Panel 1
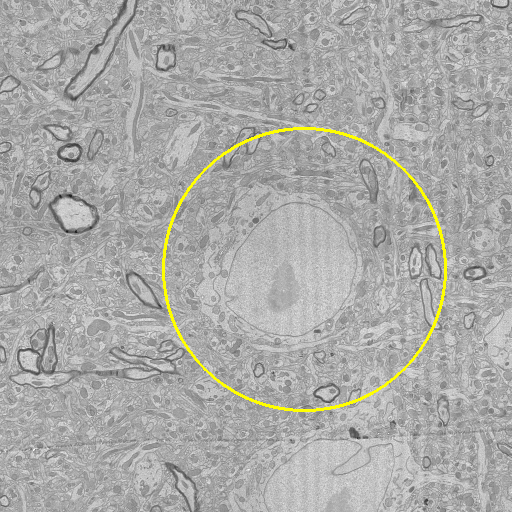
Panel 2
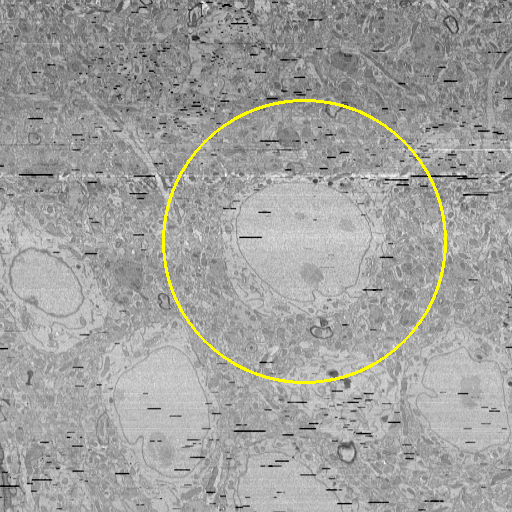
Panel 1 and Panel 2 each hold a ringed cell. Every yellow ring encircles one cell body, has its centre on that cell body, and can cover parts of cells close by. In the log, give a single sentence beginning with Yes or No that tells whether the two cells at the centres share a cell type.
Yes, in Panel 1 and Panel 2 the centred cells share a cell type.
